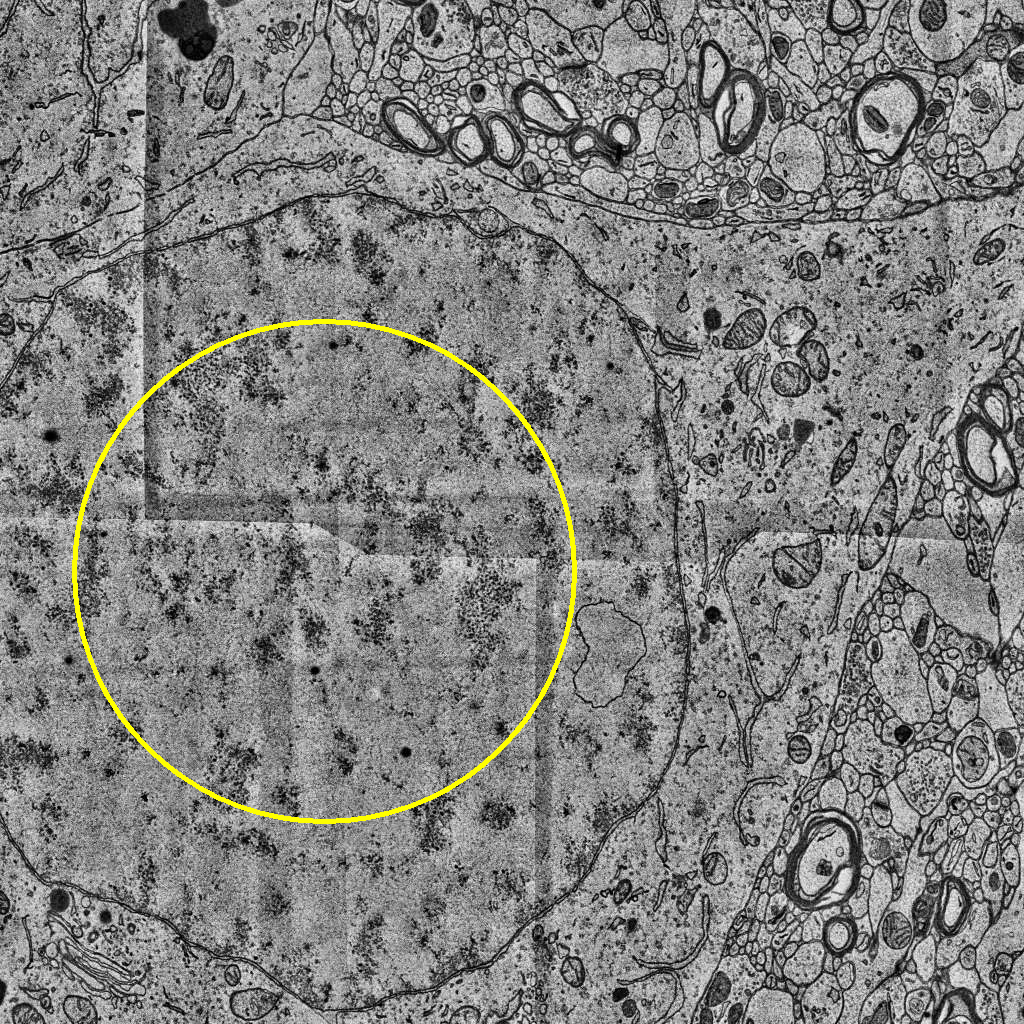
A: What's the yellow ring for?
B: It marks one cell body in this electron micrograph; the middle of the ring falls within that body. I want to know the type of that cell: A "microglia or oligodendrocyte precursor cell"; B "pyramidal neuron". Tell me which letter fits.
B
